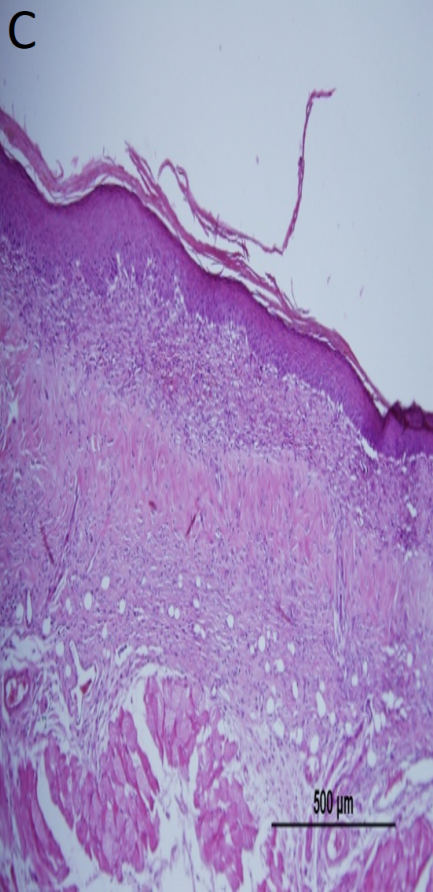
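Section of skin stained pink and purple, with a wide, densely cellular purple epidermis forming a fairly smooth surface. Thin flakes of keratin are lifting off its upper surface. The dermis below is made of pink collagen with scattered small vessels and few adnexal structures. At the bottom, cross- and obliquely cut bundles of skeletal muscle are seen.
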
